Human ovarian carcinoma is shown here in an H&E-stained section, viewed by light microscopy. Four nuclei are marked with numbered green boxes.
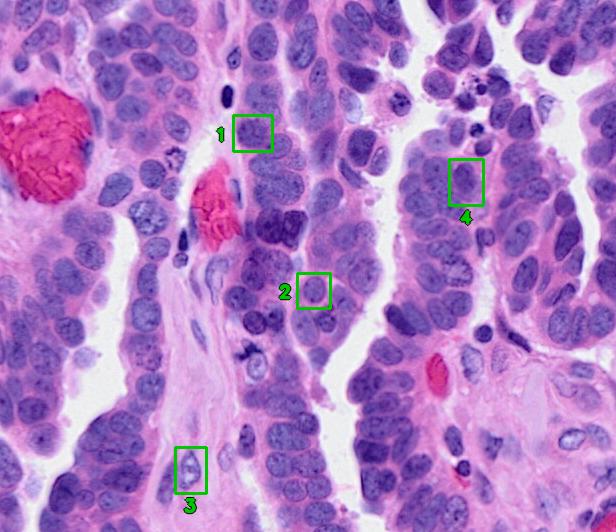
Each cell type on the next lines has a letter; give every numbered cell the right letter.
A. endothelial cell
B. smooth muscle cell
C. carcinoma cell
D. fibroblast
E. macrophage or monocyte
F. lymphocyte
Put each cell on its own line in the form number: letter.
1: C
2: C
3: D
4: C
